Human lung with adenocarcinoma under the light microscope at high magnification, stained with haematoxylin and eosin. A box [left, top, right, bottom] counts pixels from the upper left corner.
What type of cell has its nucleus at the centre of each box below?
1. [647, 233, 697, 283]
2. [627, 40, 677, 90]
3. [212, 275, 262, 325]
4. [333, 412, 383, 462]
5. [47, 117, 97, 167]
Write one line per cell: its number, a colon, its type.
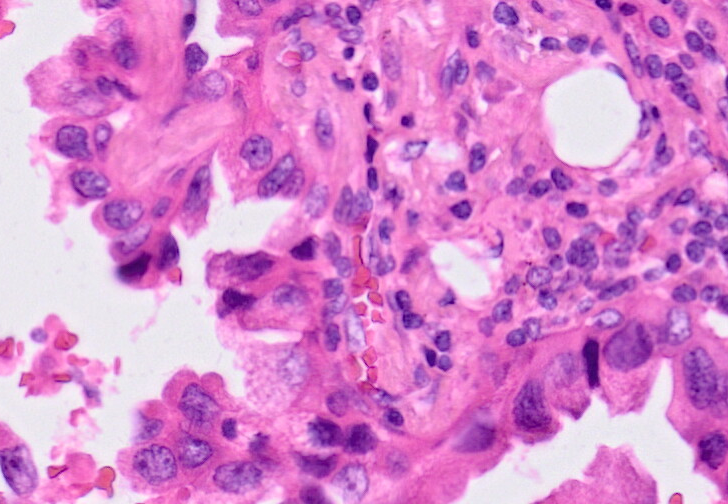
1: lymphocyte
2: lymphocyte
3: carcinoma cell
4: carcinoma cell
5: carcinoma cell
